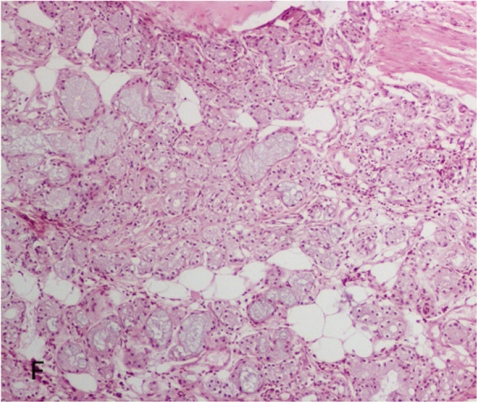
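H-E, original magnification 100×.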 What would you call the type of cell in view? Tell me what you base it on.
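Foamy, mucous acinar cells. Glandular acini are made of cells with pale, bubbly cytoplasm.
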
